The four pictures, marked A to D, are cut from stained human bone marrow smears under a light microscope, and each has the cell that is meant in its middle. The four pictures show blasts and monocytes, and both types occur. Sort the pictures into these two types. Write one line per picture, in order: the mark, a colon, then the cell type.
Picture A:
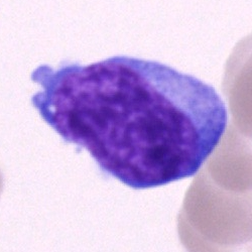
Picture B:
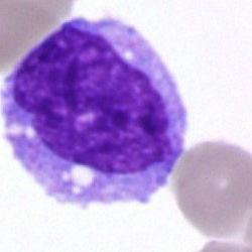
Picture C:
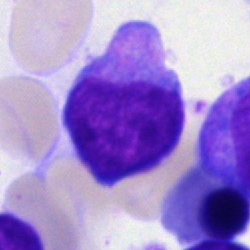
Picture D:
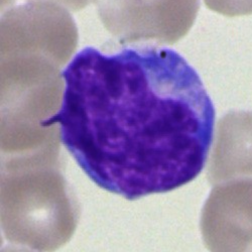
A: blast
B: monocyte
C: blast
D: blast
